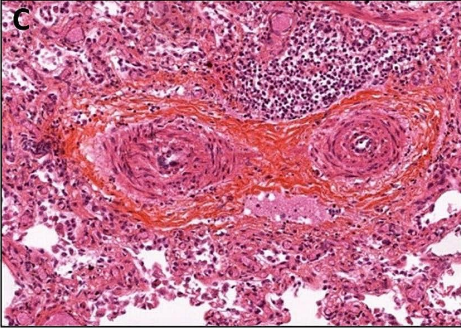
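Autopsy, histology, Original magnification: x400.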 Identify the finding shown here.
Pulmonary arterial hypertension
